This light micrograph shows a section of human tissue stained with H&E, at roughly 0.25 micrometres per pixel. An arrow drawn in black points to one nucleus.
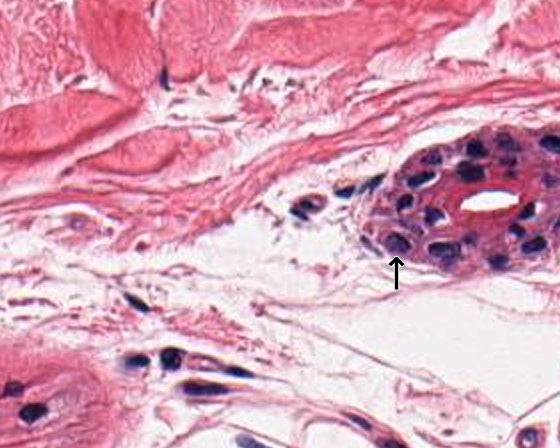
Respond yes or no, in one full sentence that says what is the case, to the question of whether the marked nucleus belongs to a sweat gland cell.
Yes, it is a sweat gland cell that holds the marked nucleus.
